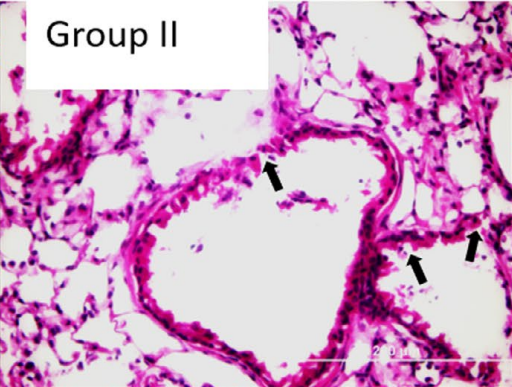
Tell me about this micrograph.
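This is lung tissue stained pink and purple, with a large airway in the centre and smaller ones at the side, surrounded by alveoli. The airway is lined by a layer of epithelial cells whose dark purple nuclei are crowded together, and this lining is thickened and uneven in places. Around the airways the alveoli form a network of thin pink walls with scattered dark nuclei, enclosing clear air spaces. Where the arrows point, the epithelial lining looks disordered and ragged rather than a smooth even row, the sign of damage to the epithelium.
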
